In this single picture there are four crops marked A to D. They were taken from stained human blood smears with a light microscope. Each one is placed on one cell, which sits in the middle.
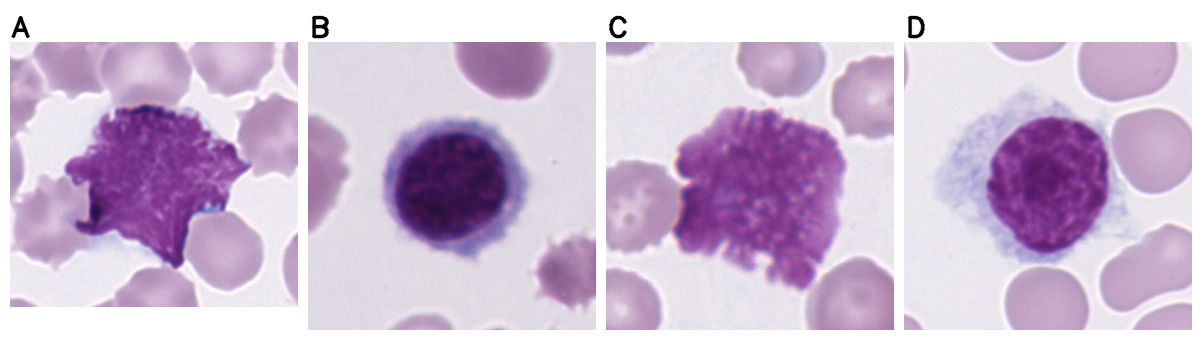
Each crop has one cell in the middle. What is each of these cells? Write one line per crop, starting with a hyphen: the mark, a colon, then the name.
- A: smudge cell
- B: hairy cell
- C: smudge cell
- D: hairy cell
